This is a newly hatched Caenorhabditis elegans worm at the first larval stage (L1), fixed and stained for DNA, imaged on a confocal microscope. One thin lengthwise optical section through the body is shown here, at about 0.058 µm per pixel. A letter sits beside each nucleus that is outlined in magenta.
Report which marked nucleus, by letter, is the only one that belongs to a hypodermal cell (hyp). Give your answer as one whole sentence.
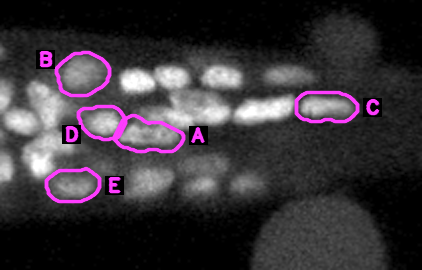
B is from a hypodermal cell (hyp).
